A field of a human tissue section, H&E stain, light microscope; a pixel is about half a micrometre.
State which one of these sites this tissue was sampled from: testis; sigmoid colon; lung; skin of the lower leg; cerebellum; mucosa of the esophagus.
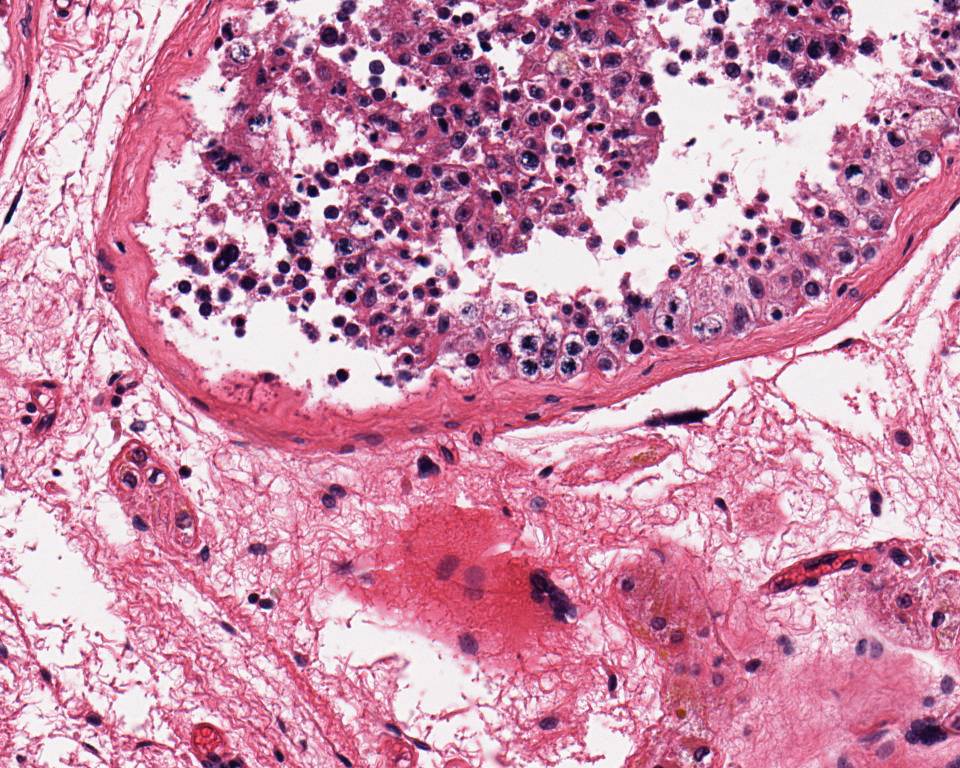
testis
